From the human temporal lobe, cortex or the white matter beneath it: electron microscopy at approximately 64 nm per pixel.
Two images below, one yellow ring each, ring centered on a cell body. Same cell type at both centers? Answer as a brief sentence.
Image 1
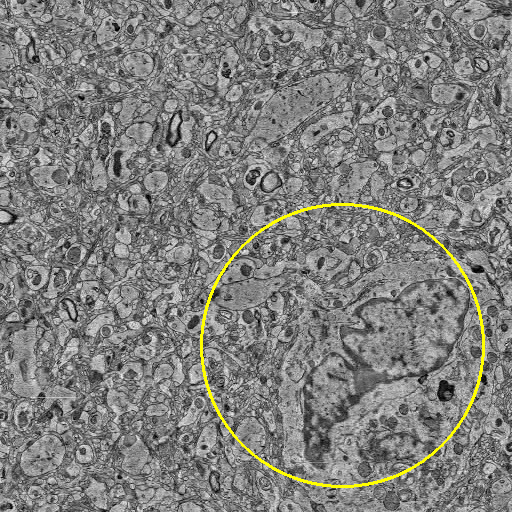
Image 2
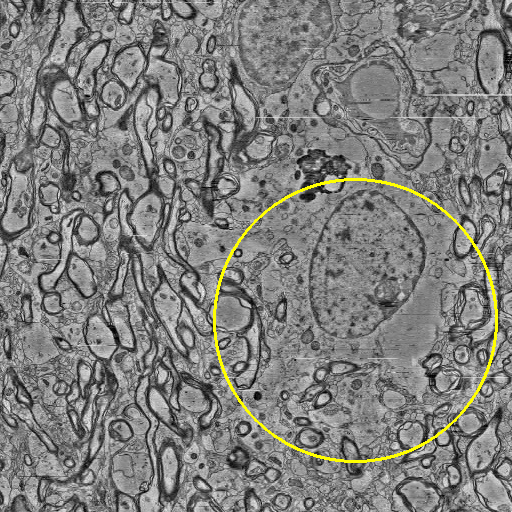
No, the cells are of two separate types.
